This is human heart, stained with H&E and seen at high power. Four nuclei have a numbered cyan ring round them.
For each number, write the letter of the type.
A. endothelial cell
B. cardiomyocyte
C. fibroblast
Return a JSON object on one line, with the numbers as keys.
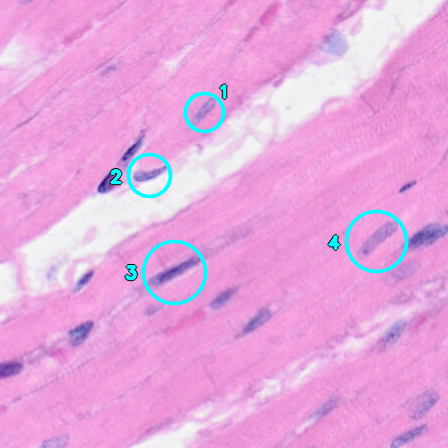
{"1": "B", "2": "C", "3": "A", "4": "B"}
